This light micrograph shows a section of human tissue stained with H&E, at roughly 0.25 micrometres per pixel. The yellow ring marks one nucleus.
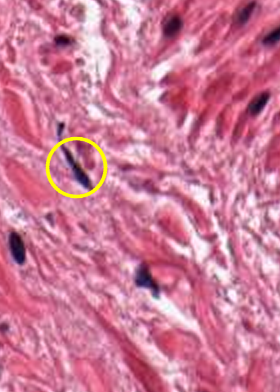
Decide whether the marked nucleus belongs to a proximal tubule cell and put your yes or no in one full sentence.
No, the marked nucleus belongs to a supporting cell, and a proximal tubule cell is not its owner.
